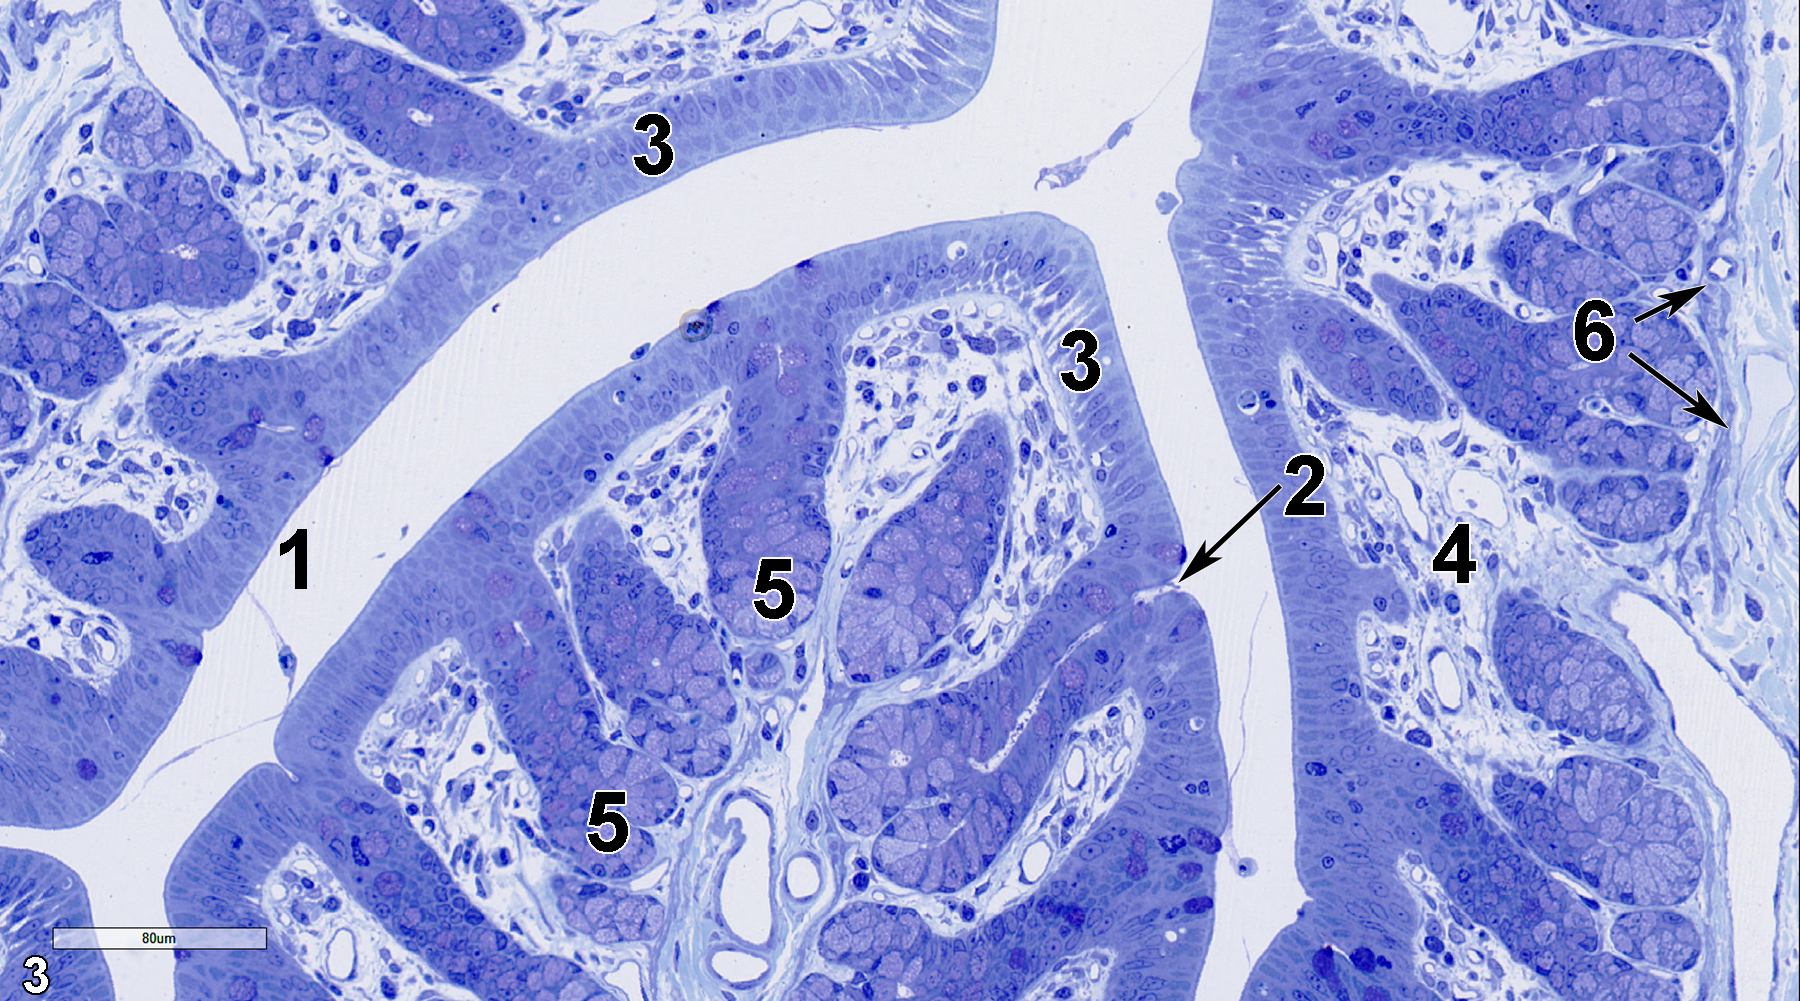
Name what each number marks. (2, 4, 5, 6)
2 - entrance to the gland
4 - lamina propria
5 - mucous cells
6 - muscularis mucosae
